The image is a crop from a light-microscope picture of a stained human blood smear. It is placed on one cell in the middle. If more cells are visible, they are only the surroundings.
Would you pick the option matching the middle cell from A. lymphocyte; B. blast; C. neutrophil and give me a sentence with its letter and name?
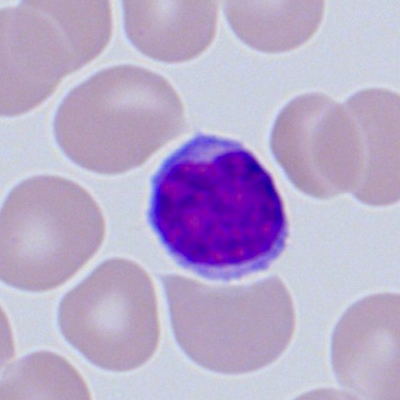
The cell centered in the crop is a lymphocyte, making option A the correct pick.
